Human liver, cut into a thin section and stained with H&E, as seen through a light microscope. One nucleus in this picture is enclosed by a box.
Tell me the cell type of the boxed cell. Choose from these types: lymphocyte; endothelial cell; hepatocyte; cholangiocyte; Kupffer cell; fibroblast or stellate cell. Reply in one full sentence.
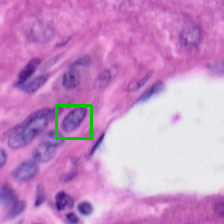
As far as its identity is concerned, the boxed cell is a cholangiocyte.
